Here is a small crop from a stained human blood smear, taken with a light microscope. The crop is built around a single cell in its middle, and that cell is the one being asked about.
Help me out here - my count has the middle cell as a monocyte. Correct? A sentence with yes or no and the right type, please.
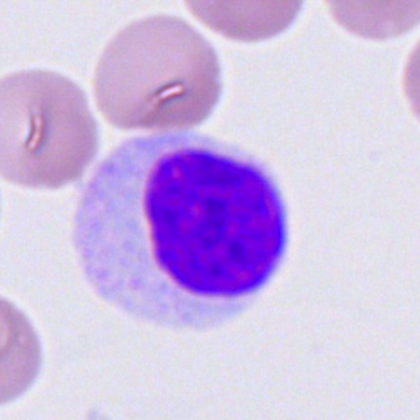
No, the cell at the centre of the crop is a lymphocyte and not a monocyte.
